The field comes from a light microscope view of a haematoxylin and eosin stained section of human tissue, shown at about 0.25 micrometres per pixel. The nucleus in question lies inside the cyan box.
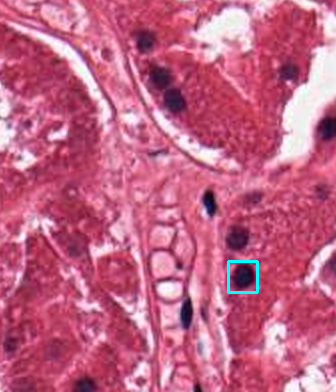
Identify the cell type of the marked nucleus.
proximal tubule cell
